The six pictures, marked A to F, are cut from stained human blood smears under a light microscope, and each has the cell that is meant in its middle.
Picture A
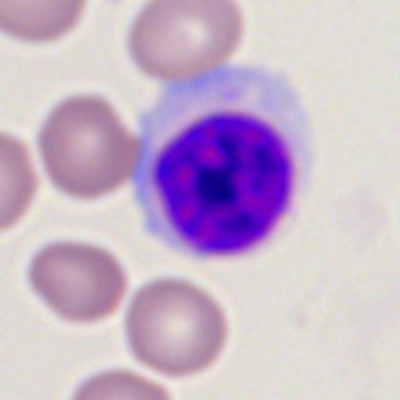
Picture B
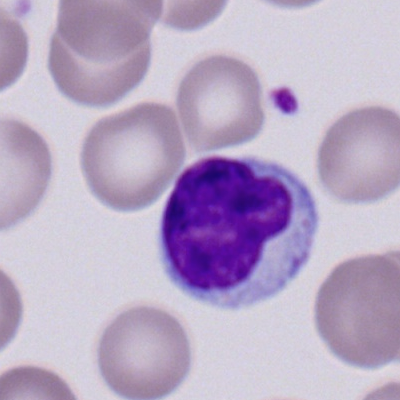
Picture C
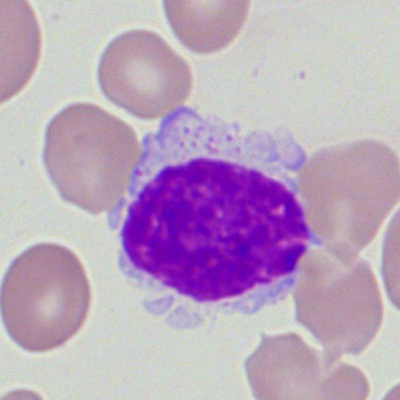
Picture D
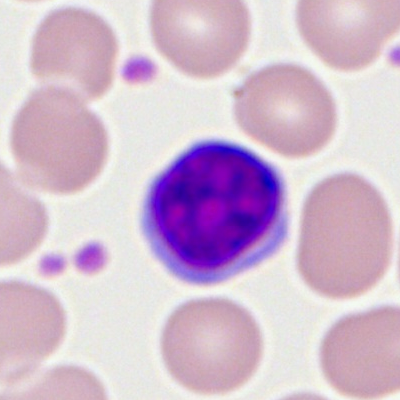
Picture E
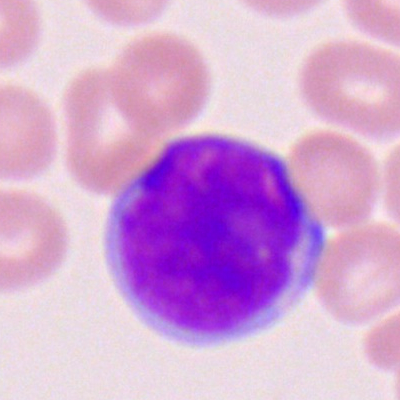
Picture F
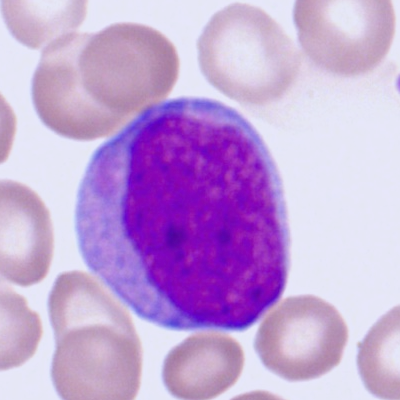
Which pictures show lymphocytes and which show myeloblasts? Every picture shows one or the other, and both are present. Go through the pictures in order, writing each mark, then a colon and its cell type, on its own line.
A: lymphocyte
B: lymphocyte
C: lymphocyte
D: lymphocyte
E: myeloblast
F: myeloblast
